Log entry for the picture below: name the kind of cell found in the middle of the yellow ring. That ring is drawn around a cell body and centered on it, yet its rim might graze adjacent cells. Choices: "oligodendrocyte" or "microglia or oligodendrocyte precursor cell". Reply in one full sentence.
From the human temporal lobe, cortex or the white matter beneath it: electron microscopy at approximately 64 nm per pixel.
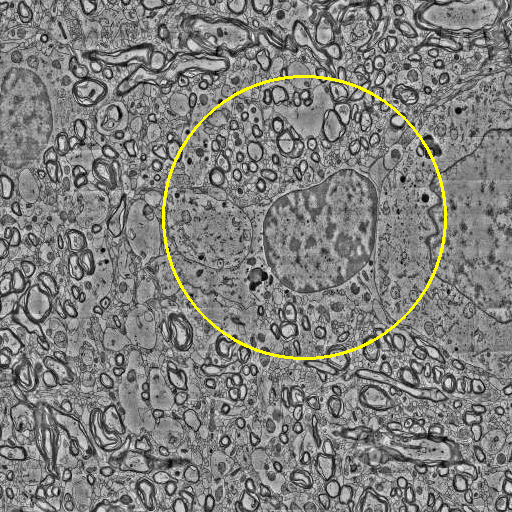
The cell in the middle of the yellow ring in this picture is a microglial cell or oligodendrocyte precursor cell.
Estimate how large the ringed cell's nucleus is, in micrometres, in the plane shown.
In this plane, the nucleus is roughly 8 by 7 micrometres.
